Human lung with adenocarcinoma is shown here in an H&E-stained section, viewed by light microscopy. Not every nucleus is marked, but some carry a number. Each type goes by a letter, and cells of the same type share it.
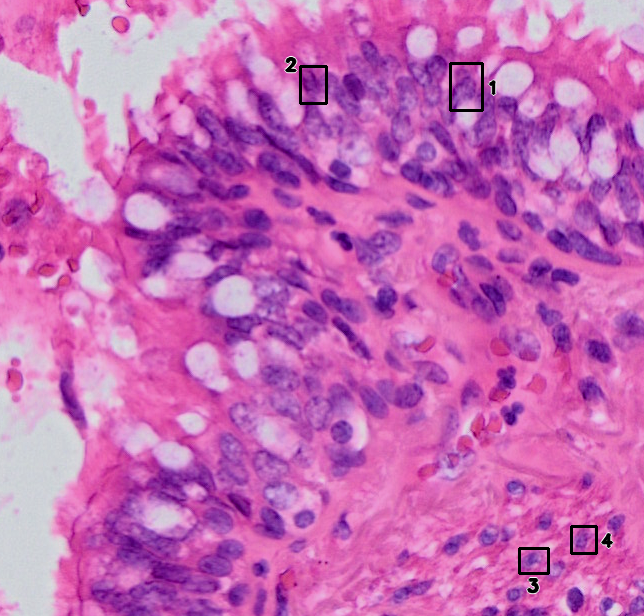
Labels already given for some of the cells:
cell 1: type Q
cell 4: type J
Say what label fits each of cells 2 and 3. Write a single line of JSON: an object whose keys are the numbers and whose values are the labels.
{"2": "type Q", "3": "type J"}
